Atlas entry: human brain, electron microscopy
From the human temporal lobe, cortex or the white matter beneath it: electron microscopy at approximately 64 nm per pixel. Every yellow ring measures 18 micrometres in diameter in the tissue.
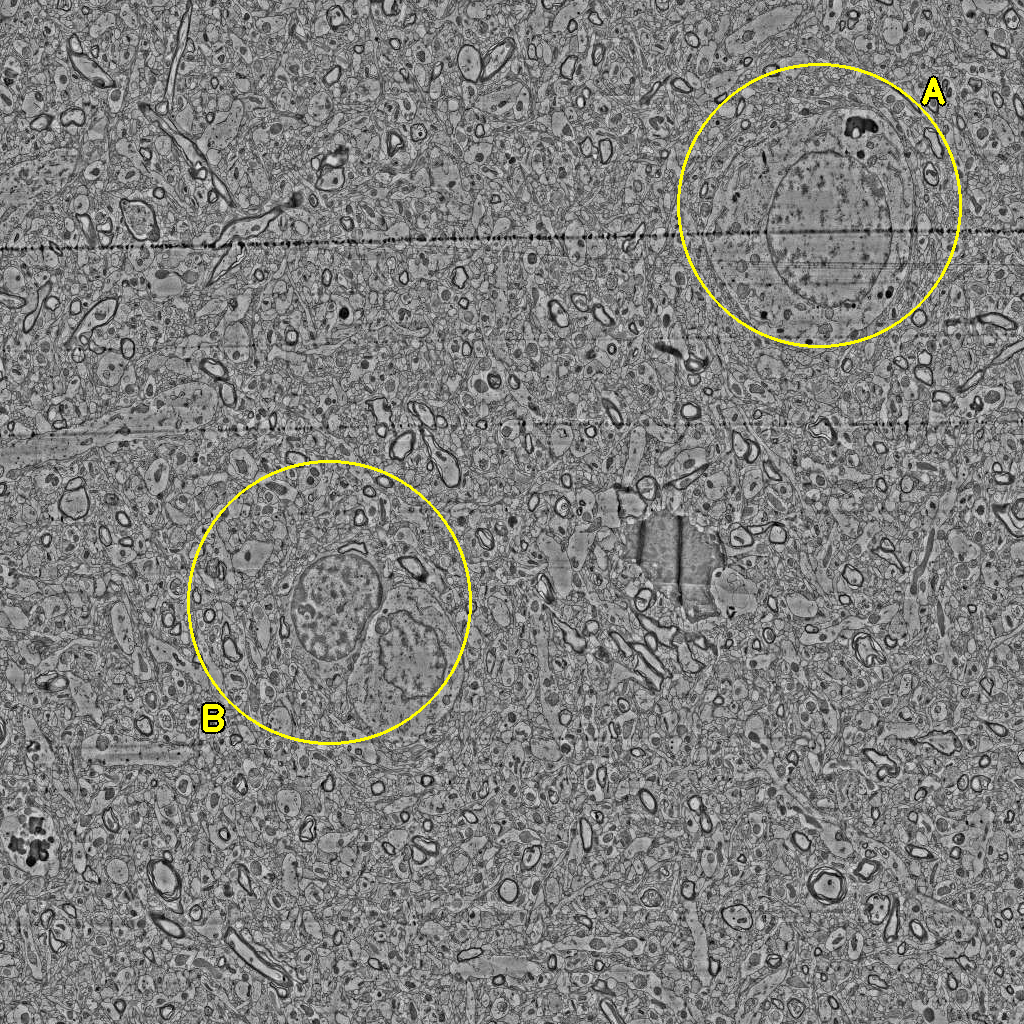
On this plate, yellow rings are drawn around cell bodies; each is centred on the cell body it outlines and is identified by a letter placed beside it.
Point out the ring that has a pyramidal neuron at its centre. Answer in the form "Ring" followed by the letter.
Ring A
